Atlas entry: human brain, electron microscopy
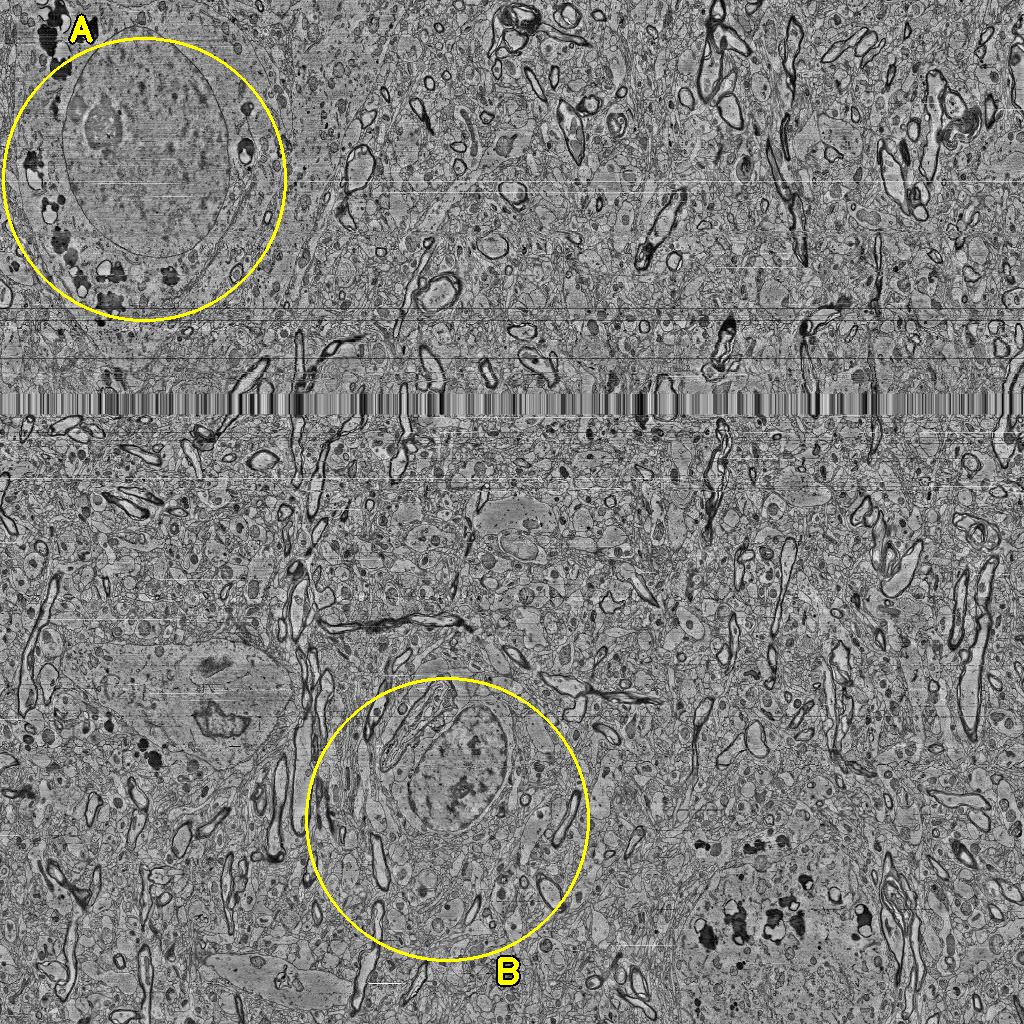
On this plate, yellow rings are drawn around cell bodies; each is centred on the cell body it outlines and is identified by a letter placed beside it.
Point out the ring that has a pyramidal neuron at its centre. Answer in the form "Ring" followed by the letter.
Ring A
